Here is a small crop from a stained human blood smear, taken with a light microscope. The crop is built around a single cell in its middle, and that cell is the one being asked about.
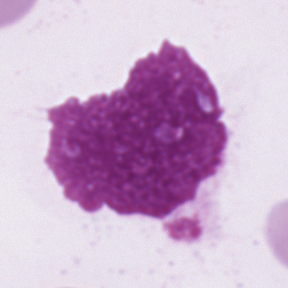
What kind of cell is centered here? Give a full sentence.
The single cell at the center of the crop is a smudge cell.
